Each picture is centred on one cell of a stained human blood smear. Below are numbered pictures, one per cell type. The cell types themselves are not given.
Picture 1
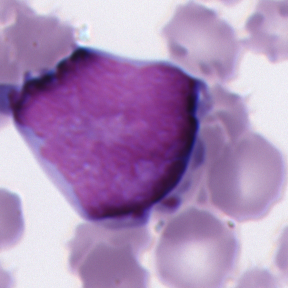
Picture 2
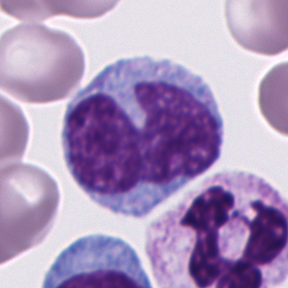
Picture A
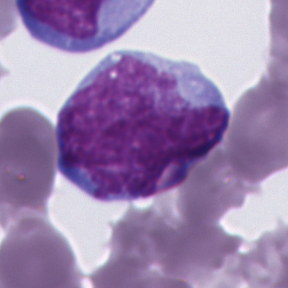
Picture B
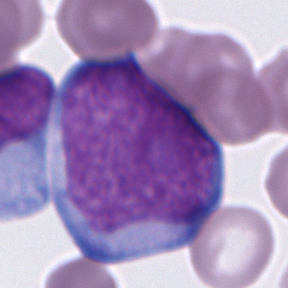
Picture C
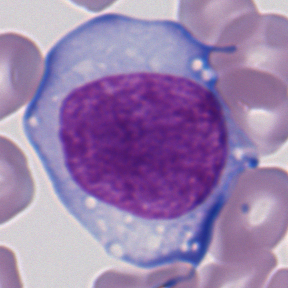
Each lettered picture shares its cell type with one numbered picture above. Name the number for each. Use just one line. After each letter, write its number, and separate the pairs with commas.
A 1, B 1, C 1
